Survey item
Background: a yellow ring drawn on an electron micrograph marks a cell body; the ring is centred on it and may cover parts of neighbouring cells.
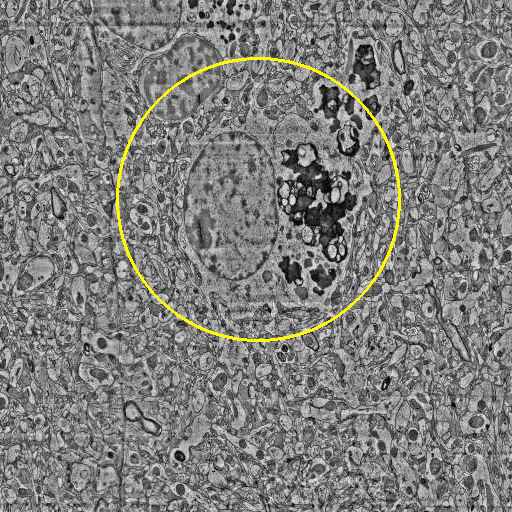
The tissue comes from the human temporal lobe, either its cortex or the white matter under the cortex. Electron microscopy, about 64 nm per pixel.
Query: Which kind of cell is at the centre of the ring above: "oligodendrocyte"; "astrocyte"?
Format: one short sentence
The cell in the middle of the ring is an astrocyte.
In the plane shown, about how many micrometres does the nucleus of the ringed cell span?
The nucleus of the ringed cell is approximately 9 by 6 micrometres in this plane.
